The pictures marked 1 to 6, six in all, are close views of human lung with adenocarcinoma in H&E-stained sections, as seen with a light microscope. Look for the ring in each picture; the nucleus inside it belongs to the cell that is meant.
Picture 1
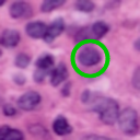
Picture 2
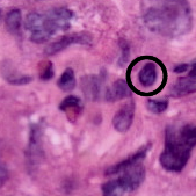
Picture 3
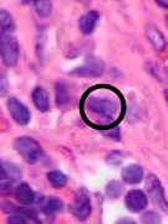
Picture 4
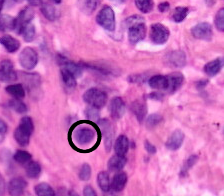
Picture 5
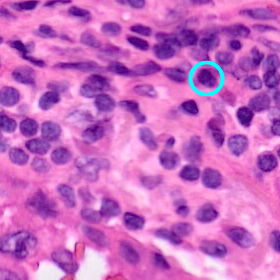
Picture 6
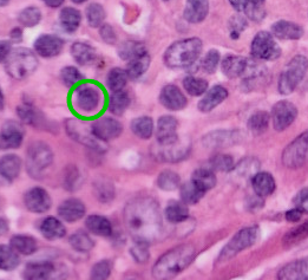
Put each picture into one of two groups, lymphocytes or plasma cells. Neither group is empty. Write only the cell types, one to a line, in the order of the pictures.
lymphocyte
lymphocyte
plasma cell
lymphocyte
plasma cell
lymphocyte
